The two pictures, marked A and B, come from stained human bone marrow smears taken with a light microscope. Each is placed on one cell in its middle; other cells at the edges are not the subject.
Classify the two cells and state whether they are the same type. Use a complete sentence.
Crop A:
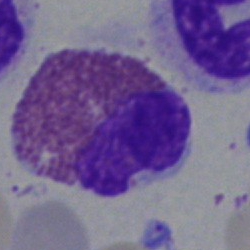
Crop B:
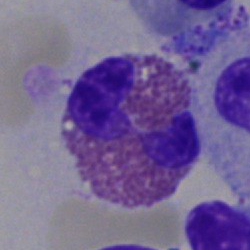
Yes, eosinophils are the cells in the middle of both crops.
